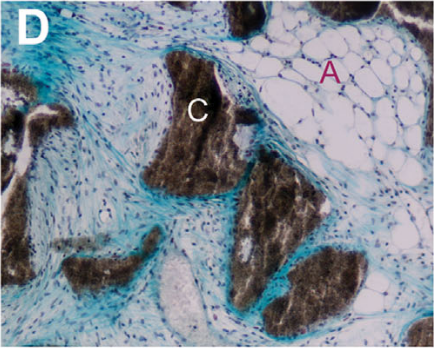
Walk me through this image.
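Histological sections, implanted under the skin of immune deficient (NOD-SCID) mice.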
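Dark brown, angular scaffold pieces lie embedded in pale teal, loose fibrous tissue with many small spindle-shaped nuclei. At one side a cluster of large, round, empty-looking fat cells with thin walls forms a honeycomb pattern, and no solid bone matrix is seen.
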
